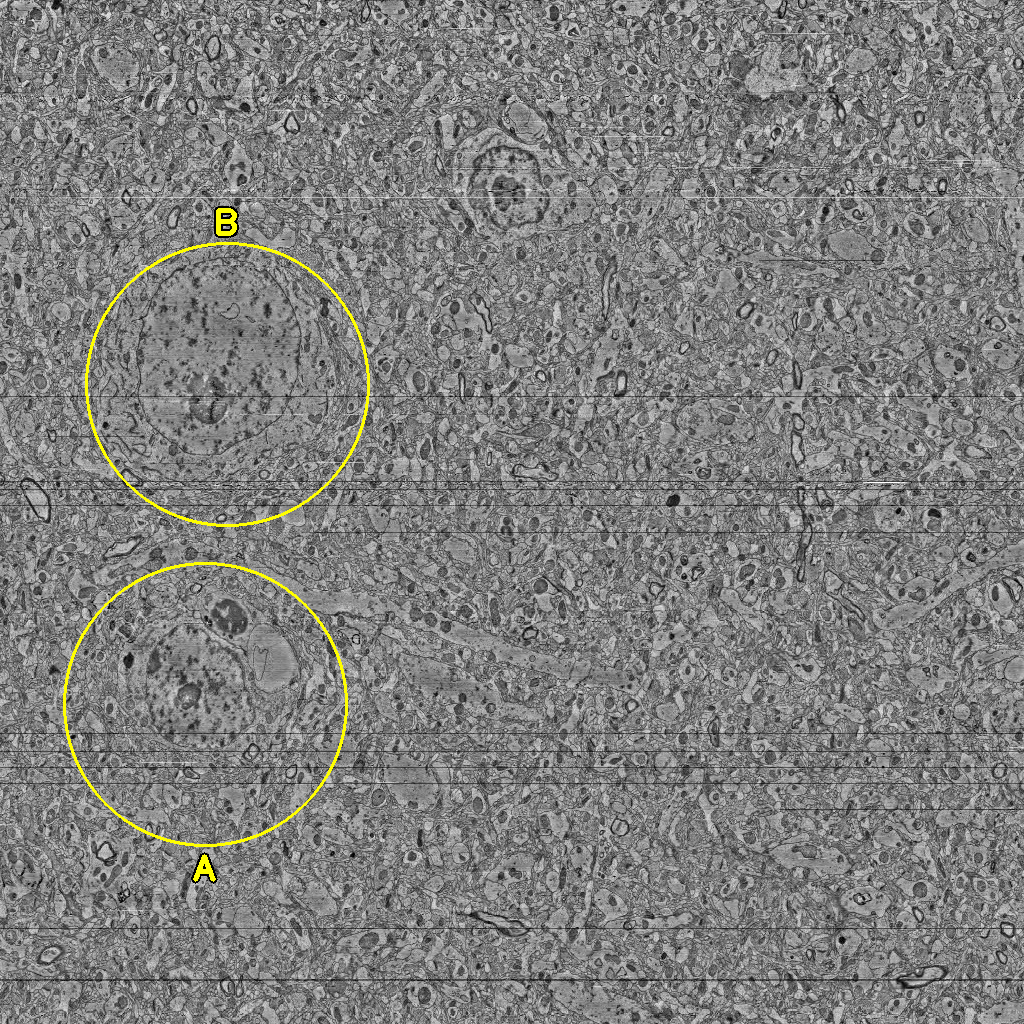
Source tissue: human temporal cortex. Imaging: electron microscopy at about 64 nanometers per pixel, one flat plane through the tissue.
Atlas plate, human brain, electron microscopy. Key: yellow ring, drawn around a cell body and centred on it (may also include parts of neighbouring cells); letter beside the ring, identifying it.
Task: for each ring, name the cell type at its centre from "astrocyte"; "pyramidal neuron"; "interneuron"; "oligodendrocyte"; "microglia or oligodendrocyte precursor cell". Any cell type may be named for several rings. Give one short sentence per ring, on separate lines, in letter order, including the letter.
Ring A is centred over an interneuron.
Ring B is centred over a pyramidal neuron.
